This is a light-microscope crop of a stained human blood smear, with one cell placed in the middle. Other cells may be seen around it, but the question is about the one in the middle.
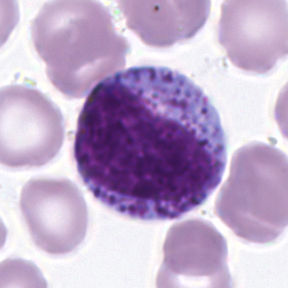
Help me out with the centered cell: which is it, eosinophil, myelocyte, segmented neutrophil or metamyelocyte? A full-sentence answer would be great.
What the crop centres on is a myelocyte.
